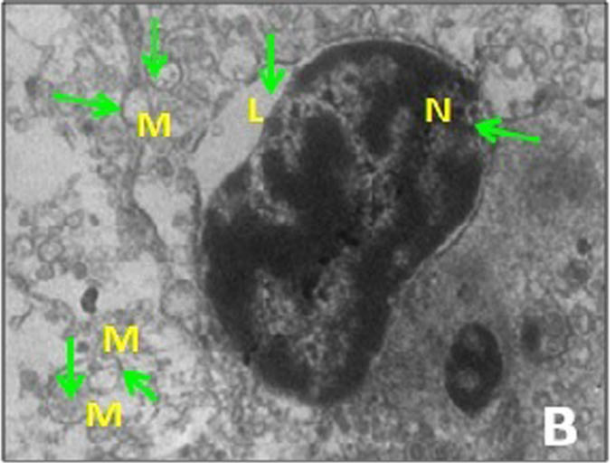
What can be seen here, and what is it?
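The nucleus has an irregular, somewhat lobed outline and is filled with very dense, dark chromatin in coarse clumps, with paler channels running between them. Around it the cytoplasm is crowded with many small round membrane-bound profiles, the mitochondria, scattered on the left and below. A small dark oval body sits in the cytoplasm to the lower right of the nucleus.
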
